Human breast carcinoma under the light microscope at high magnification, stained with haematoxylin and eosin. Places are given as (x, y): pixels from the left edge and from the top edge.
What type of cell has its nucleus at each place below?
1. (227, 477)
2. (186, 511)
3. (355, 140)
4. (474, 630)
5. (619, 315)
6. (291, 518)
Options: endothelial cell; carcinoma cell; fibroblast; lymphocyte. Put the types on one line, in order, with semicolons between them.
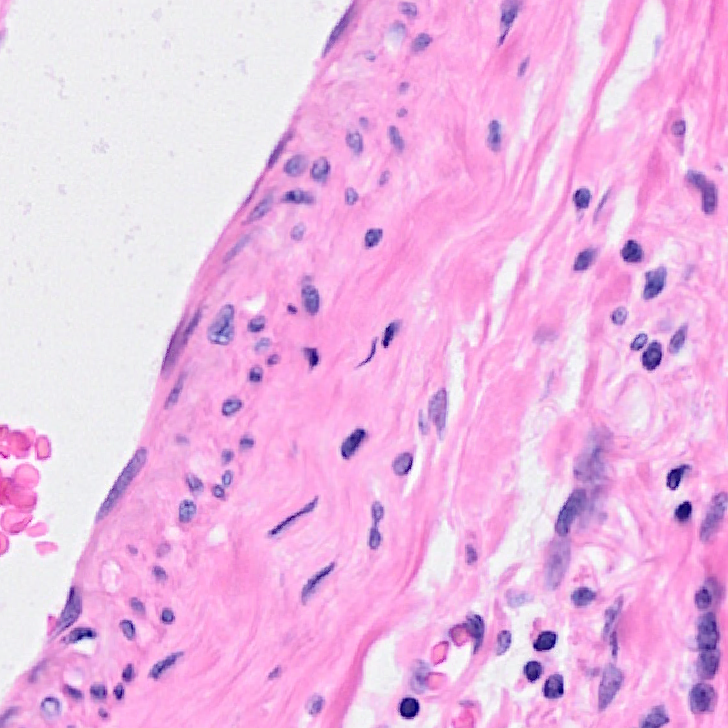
endothelial cell; endothelial cell; endothelial cell; endothelial cell; lymphocyte; fibroblast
